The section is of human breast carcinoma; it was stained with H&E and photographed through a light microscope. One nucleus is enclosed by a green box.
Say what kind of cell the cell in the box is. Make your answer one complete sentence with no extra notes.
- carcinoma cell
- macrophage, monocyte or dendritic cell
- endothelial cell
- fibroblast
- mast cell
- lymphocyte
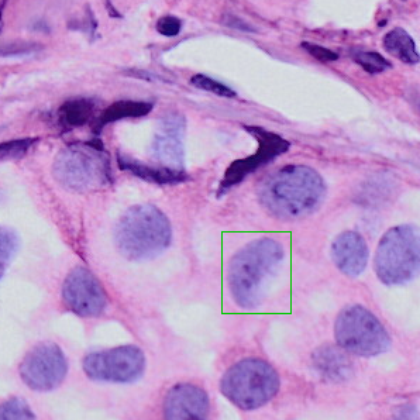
In this tissue section, the cell in the box is to be classed as a carcinoma cell.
